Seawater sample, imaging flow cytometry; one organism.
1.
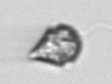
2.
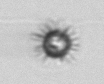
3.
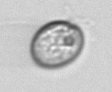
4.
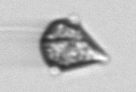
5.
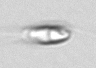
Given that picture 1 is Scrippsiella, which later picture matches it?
4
